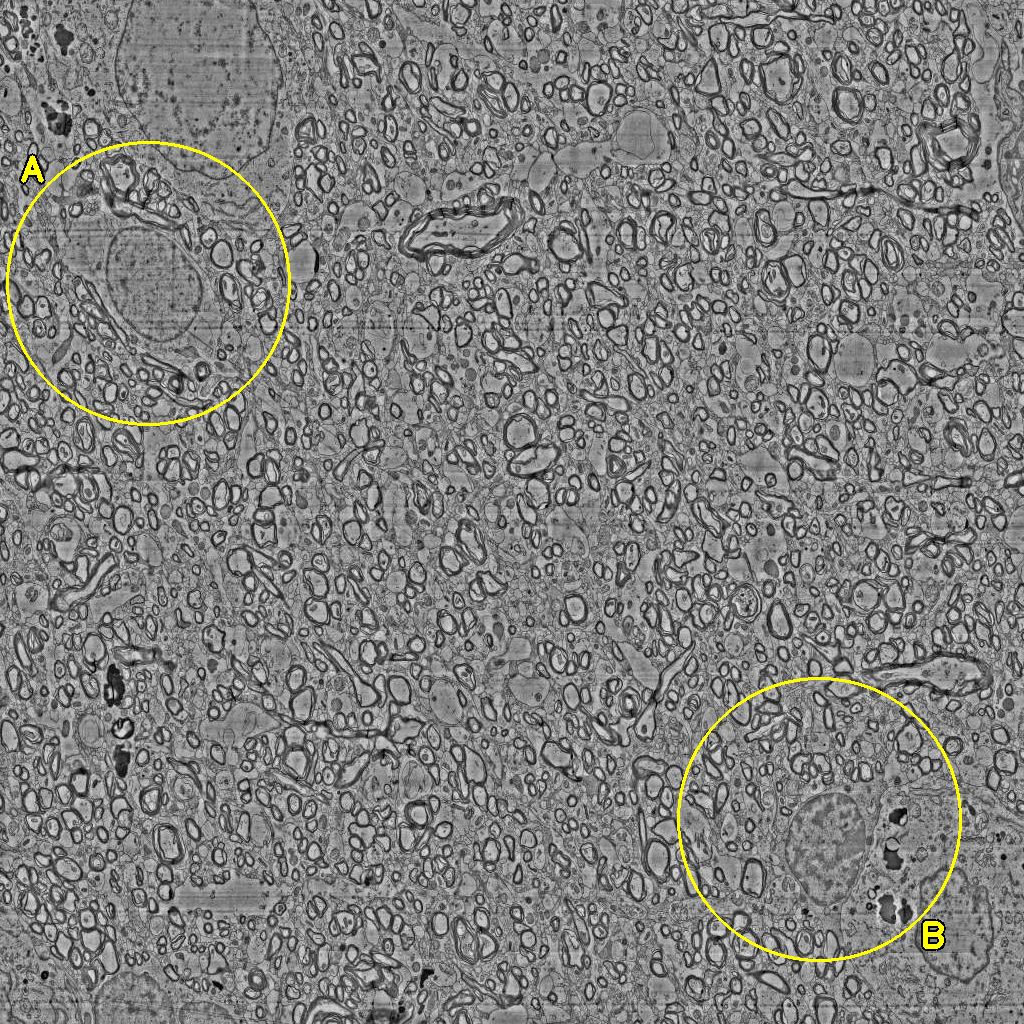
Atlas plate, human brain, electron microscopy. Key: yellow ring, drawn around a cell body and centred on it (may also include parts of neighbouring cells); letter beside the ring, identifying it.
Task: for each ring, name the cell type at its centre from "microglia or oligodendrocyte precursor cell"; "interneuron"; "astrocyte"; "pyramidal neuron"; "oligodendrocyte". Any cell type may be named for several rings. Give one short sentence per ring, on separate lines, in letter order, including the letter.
Ring A is centred over an astrocyte.
Ring B is centred over an oligodendrocyte.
